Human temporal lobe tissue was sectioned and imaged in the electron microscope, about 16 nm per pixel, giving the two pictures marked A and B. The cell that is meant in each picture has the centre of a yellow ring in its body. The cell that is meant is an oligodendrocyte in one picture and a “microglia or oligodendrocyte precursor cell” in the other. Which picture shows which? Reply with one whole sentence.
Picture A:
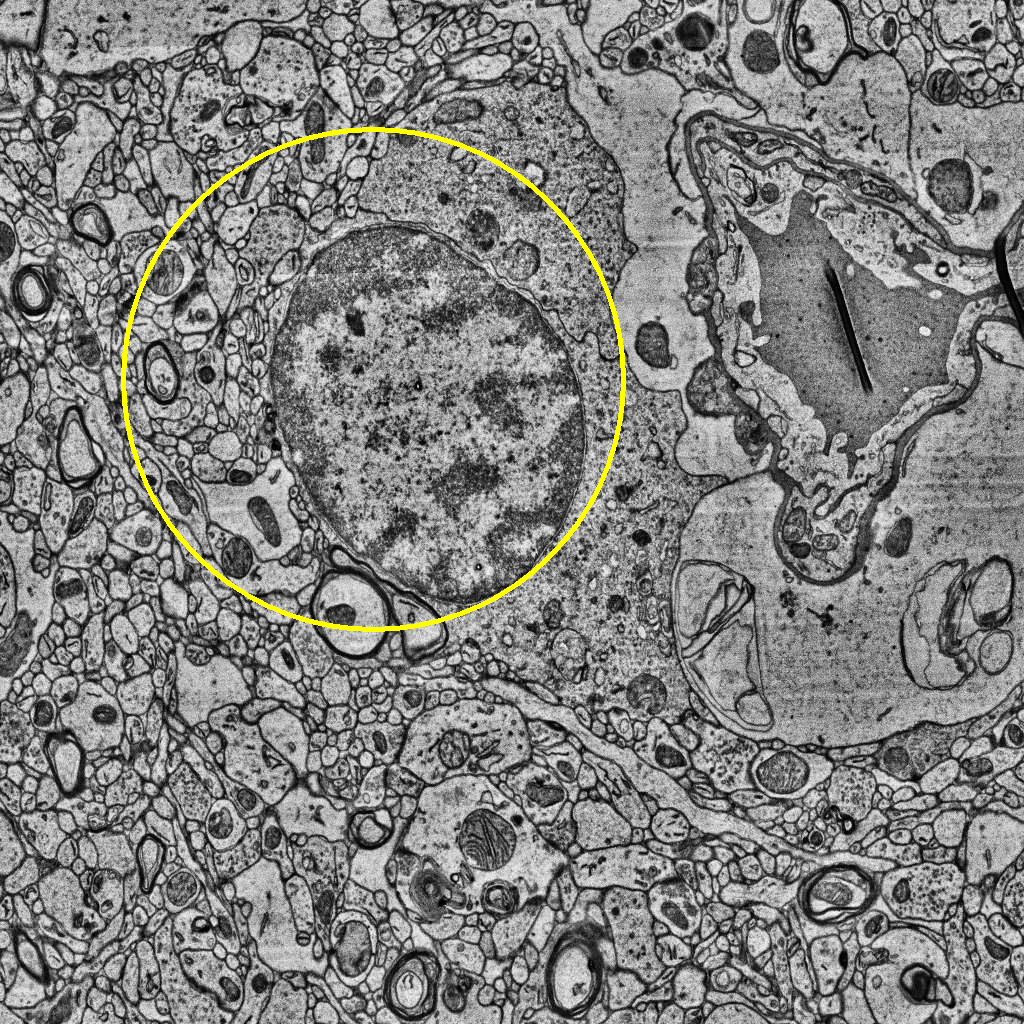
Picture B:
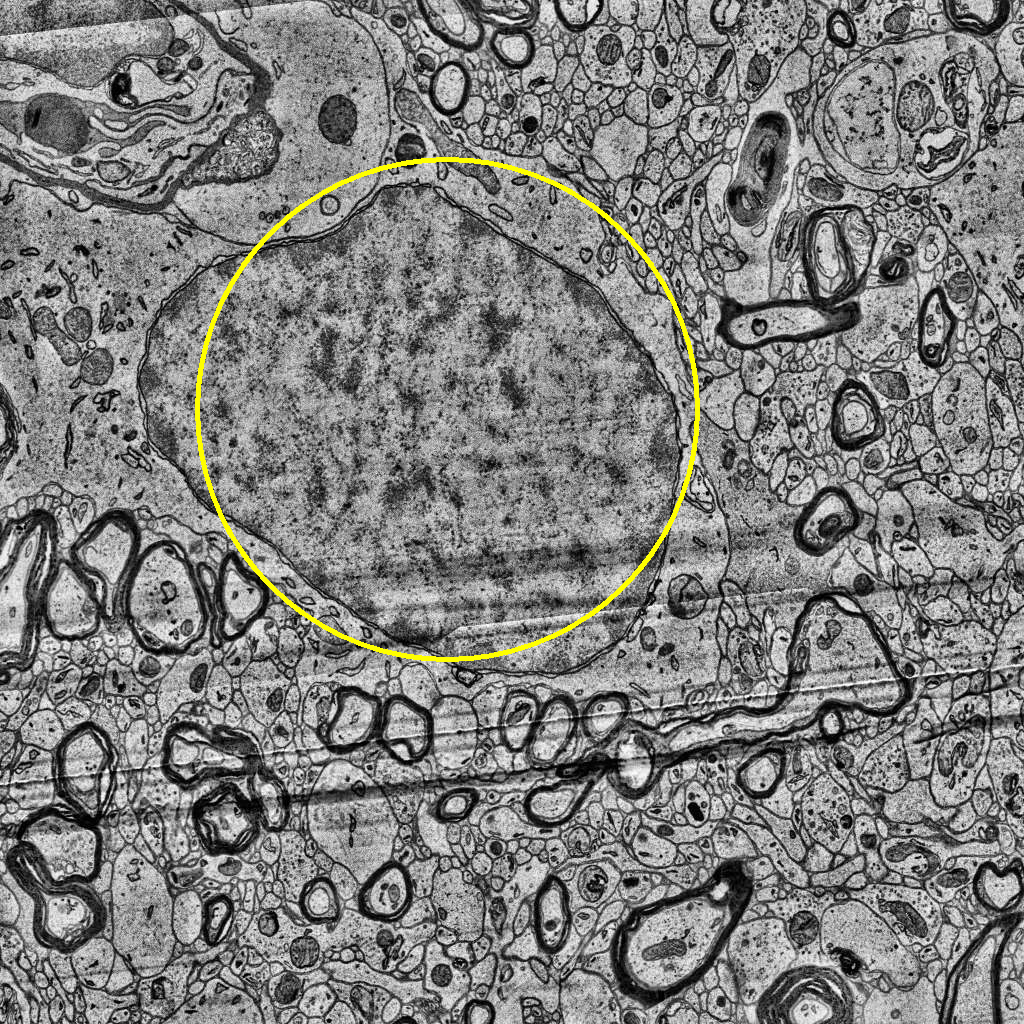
The cell in picture A is an oligodendrocyte, and the one in picture B is a “microglia or oligodendrocyte precursor cell”.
